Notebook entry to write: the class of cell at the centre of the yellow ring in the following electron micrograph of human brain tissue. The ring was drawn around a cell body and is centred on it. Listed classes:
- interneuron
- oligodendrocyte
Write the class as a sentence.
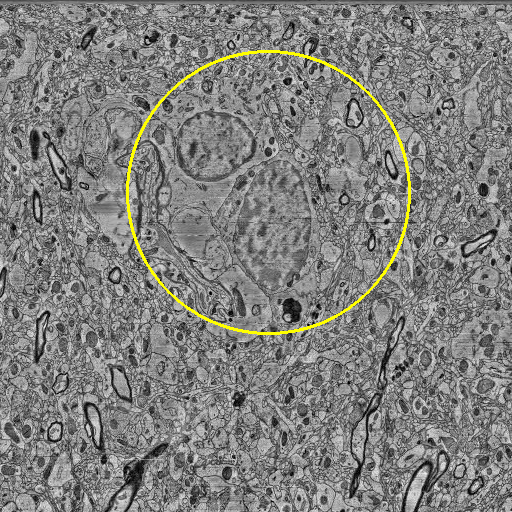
The yellow ring sits on an oligodendrocyte.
